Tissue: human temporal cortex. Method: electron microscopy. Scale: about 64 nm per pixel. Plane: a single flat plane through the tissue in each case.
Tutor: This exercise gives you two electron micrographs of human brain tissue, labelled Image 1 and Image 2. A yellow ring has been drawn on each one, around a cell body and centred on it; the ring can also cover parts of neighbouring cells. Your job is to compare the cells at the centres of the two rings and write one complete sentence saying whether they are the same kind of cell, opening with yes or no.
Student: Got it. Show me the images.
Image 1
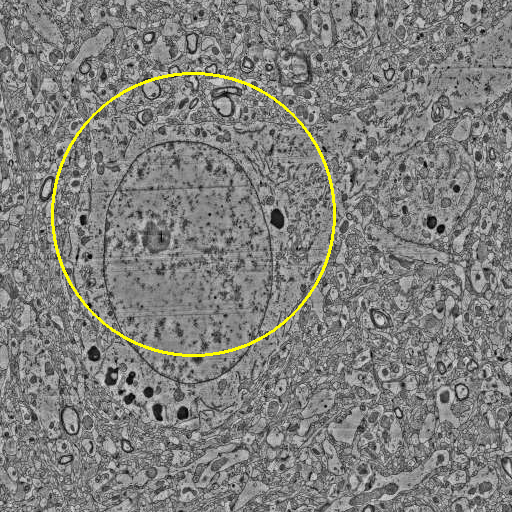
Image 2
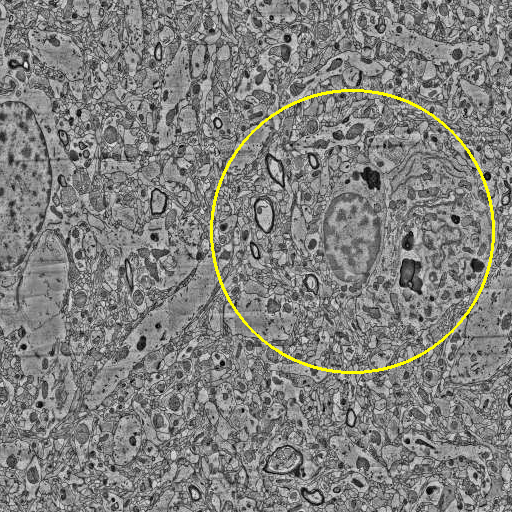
No, the two cells belong to two kinds.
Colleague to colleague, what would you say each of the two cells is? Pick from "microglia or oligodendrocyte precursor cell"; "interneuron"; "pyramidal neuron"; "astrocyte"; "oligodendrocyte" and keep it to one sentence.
The cell in the first picture is a pyramidal neuron; the second picture's cell is an oligodendrocyte.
